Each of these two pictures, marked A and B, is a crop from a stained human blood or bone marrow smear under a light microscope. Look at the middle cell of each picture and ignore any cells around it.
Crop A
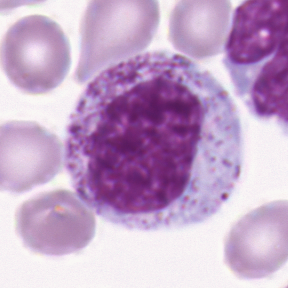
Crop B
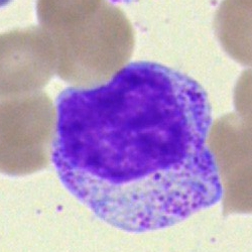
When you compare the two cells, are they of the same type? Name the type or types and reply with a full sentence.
Yes, myelocytes occupy the centre of both crops.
